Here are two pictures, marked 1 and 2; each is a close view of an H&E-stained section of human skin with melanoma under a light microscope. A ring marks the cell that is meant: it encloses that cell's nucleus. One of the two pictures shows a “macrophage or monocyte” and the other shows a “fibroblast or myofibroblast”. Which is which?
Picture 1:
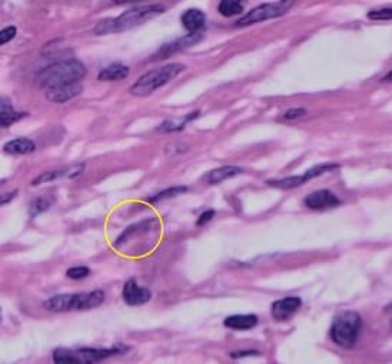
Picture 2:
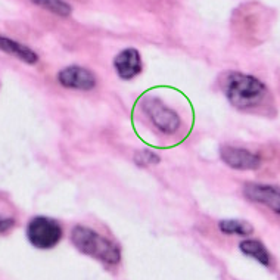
1: fibroblast or myofibroblast
2: macrophage or monocyte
